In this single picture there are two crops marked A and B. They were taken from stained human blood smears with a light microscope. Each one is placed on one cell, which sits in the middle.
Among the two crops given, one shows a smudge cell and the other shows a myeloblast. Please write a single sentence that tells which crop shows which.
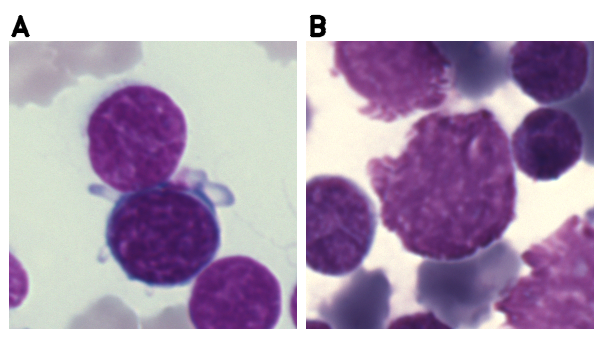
The correct labels are a myeloblast for crop A and a smudge cell for crop B.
